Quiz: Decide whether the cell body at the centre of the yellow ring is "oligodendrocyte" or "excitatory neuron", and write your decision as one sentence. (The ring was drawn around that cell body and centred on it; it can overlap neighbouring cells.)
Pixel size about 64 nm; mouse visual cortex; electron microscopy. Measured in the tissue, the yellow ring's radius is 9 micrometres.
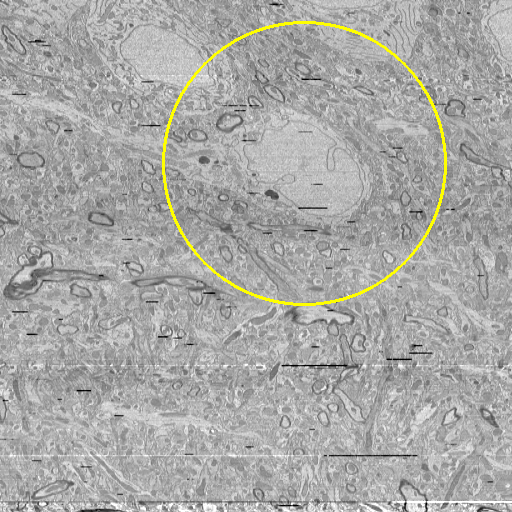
The cell the ring is centred on is an excitatory neuron.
